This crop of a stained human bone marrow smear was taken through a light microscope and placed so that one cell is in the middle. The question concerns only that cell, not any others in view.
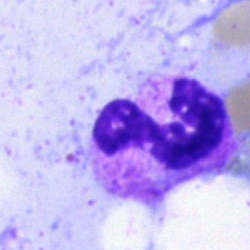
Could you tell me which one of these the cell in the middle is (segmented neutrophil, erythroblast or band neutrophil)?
segmented neutrophil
